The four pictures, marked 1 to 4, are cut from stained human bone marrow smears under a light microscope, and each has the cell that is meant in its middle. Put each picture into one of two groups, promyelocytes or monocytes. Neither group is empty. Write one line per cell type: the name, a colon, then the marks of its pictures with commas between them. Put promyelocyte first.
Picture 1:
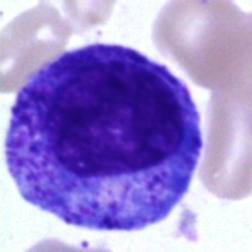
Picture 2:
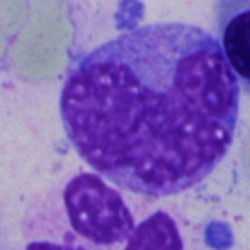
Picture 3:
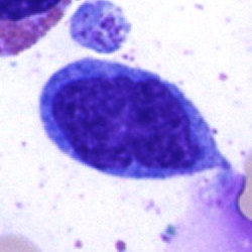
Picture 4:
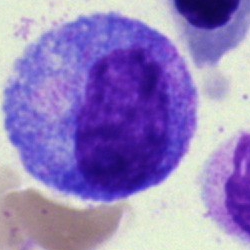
promyelocyte: 1, 4
monocyte: 2, 3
